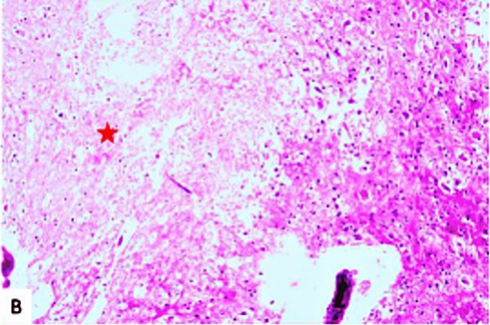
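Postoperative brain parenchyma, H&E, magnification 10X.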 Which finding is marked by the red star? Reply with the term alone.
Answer: Necrosis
